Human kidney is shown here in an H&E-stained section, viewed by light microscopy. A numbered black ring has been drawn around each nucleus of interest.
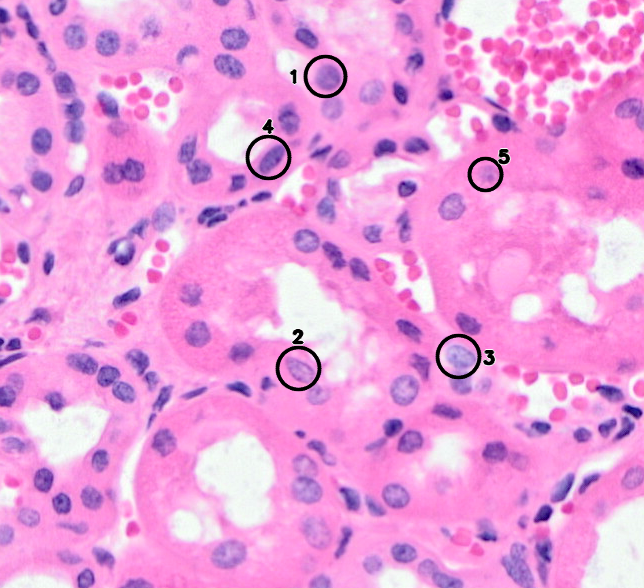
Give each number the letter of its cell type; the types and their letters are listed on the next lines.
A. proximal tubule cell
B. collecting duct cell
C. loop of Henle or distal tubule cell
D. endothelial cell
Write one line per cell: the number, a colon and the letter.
1: B
2: A
3: B
4: B
5: A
